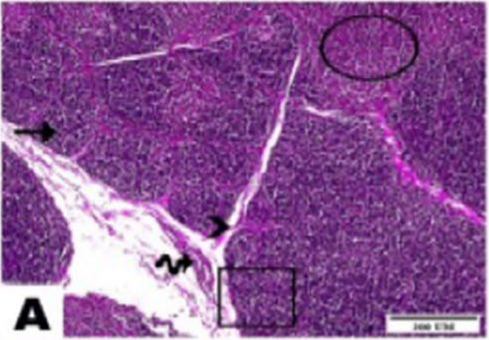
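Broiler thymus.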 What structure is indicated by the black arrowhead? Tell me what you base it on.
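Fine connective tissue septa. Thin pink bands run between the purple lobules. The arrowhead points at such a band dividing lobules.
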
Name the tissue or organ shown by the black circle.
pale stained inner medulla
